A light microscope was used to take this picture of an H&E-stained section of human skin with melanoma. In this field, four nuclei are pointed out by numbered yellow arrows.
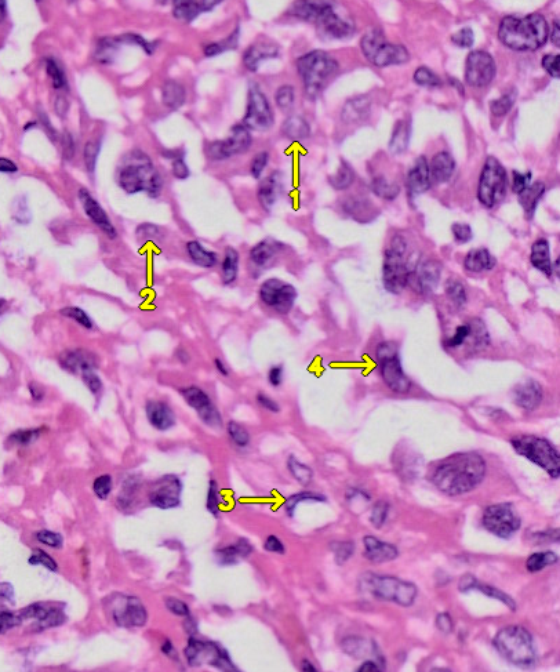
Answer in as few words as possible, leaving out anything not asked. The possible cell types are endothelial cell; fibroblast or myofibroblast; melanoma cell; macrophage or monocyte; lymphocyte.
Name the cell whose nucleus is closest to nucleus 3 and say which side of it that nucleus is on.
an endothelial cell; above nucleus 3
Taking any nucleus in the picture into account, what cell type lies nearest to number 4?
melanoma cell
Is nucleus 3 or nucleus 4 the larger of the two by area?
4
